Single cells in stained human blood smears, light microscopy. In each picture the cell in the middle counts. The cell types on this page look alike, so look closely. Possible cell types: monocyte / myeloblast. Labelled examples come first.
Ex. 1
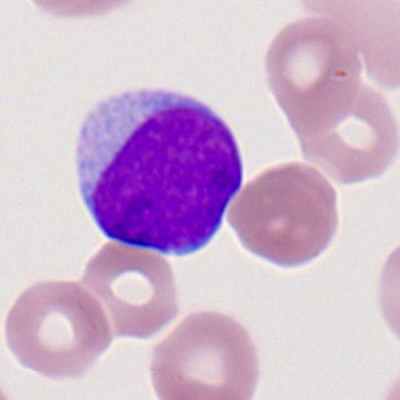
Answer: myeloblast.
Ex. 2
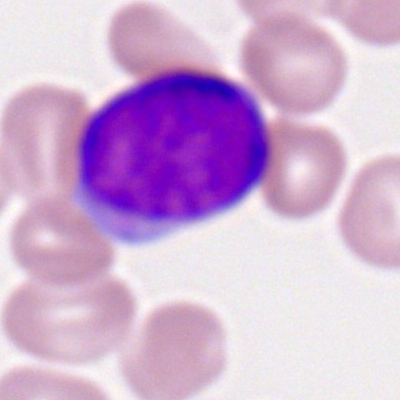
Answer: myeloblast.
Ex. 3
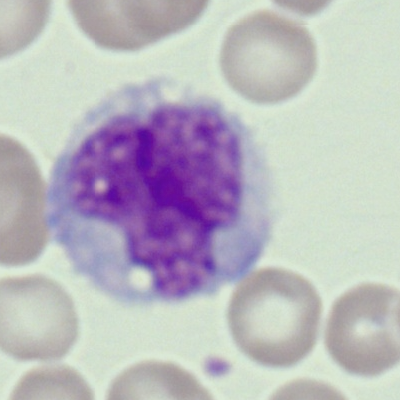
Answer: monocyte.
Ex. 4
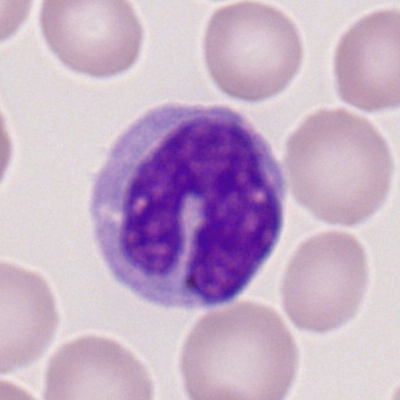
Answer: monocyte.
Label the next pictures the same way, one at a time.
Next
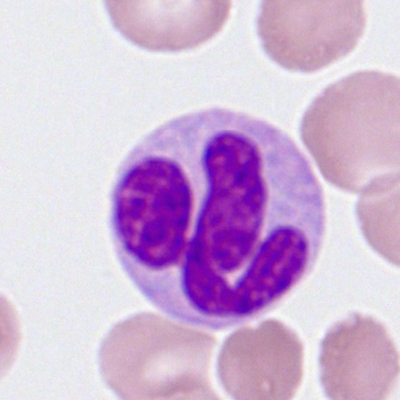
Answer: monocyte.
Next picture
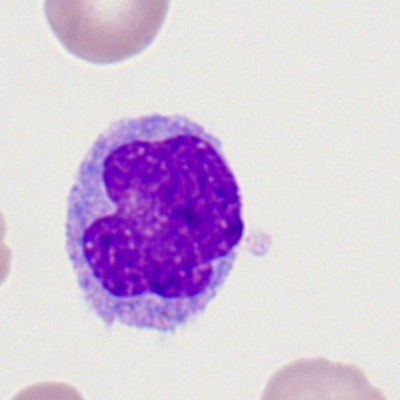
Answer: monocyte.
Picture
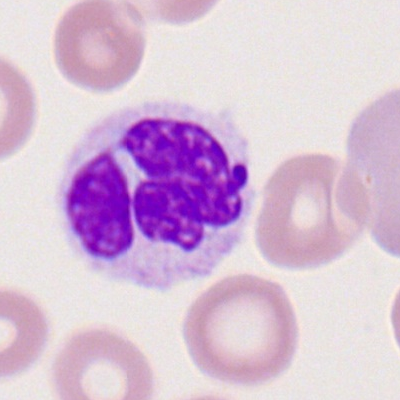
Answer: monocyte.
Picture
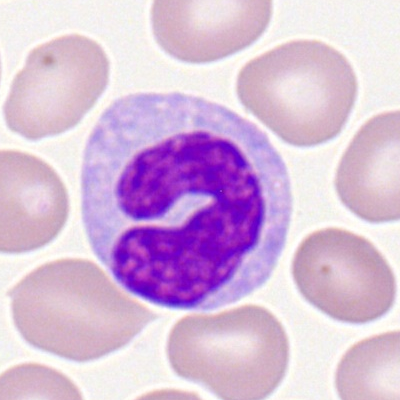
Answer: monocyte.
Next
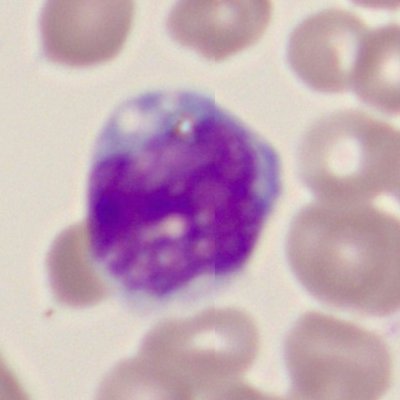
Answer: monocyte.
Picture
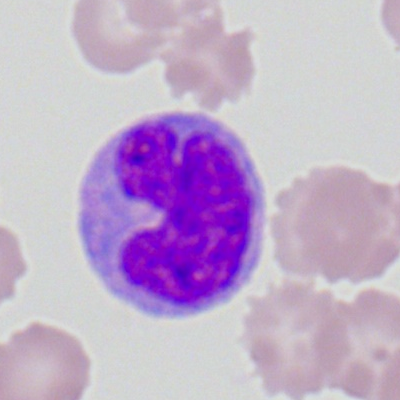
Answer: monocyte.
